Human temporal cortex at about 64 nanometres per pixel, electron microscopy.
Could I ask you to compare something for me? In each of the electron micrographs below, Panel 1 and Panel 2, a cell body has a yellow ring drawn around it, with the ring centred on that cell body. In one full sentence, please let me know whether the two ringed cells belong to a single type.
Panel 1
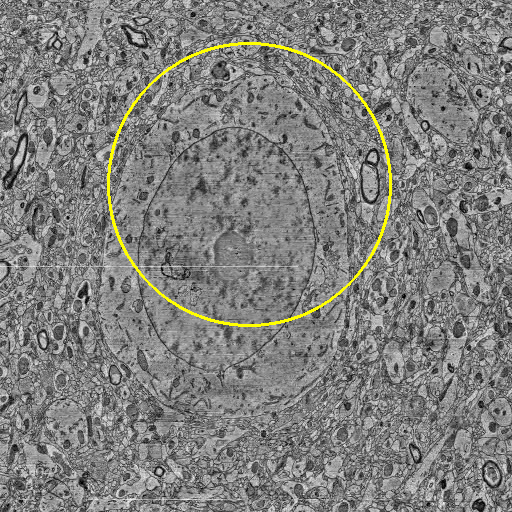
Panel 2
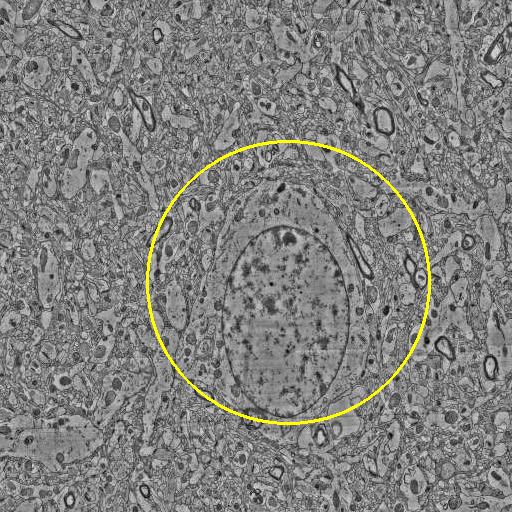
Yes, the two cells at the centres of the rings are of one type.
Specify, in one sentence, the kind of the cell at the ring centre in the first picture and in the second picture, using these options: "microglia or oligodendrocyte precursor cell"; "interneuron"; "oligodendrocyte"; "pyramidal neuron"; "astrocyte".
Each of the two pictures has a pyramidal neuron at the ring centre.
